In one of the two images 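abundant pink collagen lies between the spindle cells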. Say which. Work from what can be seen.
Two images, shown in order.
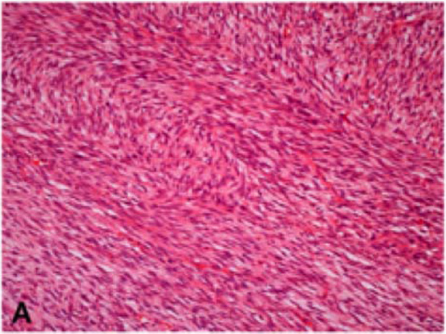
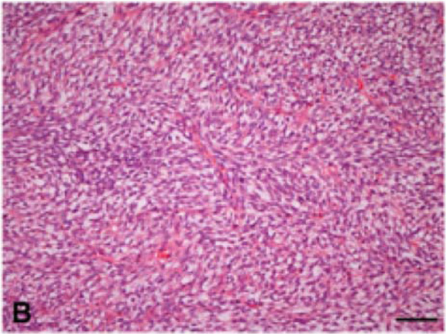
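The first image. Second image: the field is paler and more purple, with little pink material between the cells. First image: the field is strongly pink, with eosinophilic fibres between the fascicles.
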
